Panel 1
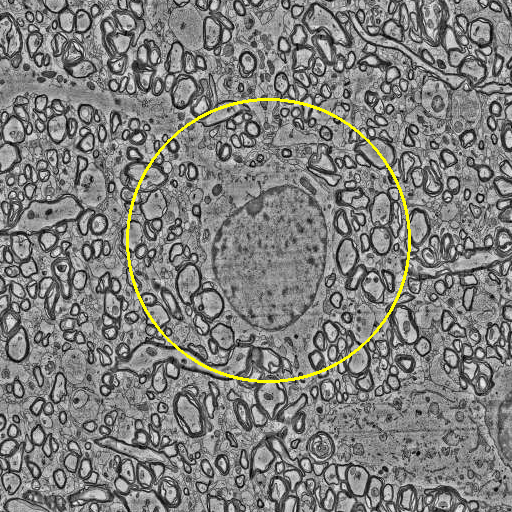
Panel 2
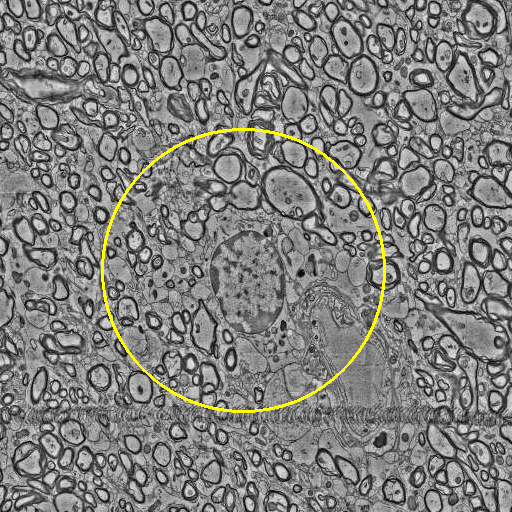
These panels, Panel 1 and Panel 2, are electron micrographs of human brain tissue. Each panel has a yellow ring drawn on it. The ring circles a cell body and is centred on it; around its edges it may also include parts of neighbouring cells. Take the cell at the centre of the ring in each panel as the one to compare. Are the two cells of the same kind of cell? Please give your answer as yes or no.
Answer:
no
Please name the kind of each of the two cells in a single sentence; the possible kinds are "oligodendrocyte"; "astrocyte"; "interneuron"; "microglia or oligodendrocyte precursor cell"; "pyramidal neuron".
In the first picture the ring is centred on an astrocyte, and in the second on a microglial cell or oligodendrocyte precursor cell.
